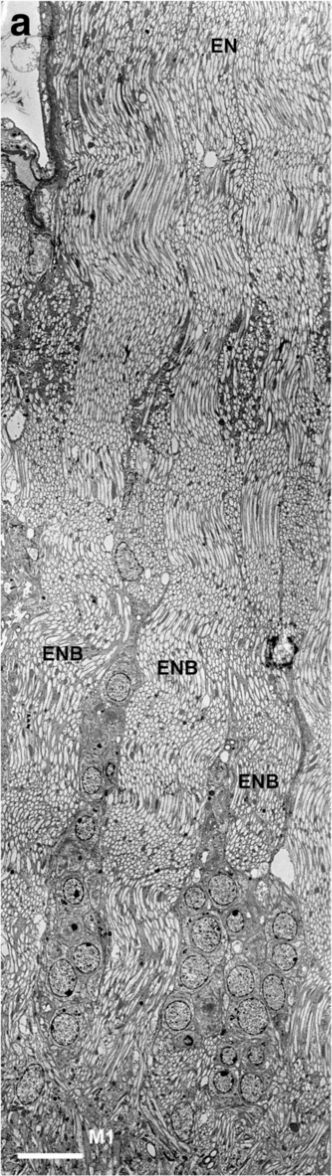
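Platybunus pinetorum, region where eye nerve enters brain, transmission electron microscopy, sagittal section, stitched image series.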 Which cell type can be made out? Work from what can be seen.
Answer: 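Cell bodies. Clusters of round profiles with large round nuclei lie between the fibre bundles. The clusters are concentrated in the lower part of the panel. Bundles of densely packed axon profiles run between the clusters.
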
